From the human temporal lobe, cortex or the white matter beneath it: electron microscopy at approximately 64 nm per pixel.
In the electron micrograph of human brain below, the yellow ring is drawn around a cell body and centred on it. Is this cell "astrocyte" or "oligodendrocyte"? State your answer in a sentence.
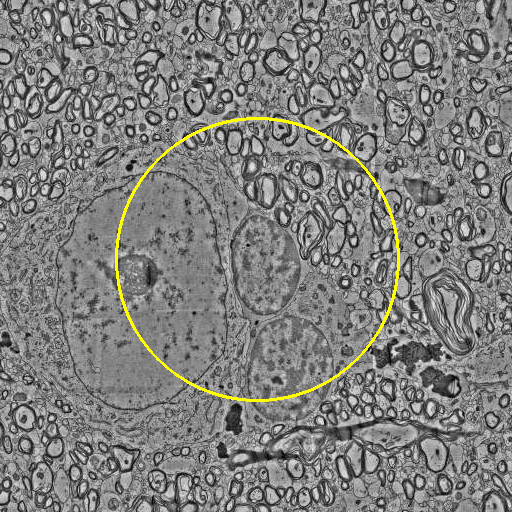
The cell in the middle of the ring is an oligodendrocyte.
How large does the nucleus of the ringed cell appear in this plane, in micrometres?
Roughly 6 micrometres by 5 micrometres, in this plane.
